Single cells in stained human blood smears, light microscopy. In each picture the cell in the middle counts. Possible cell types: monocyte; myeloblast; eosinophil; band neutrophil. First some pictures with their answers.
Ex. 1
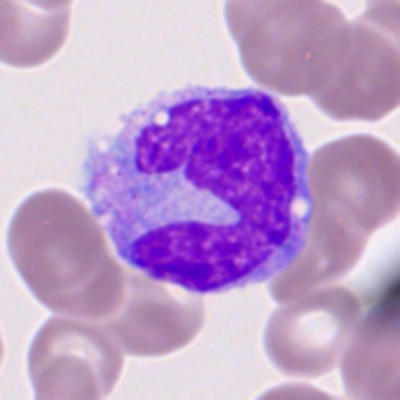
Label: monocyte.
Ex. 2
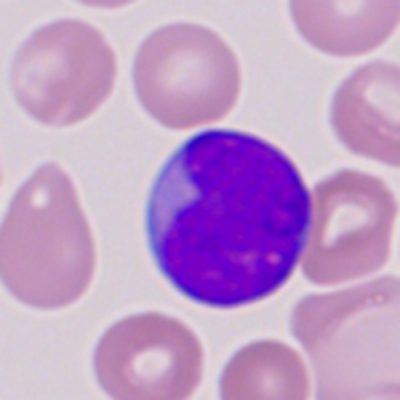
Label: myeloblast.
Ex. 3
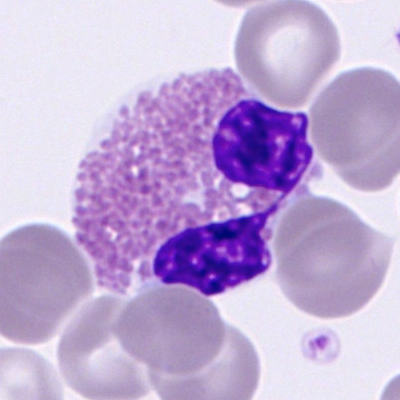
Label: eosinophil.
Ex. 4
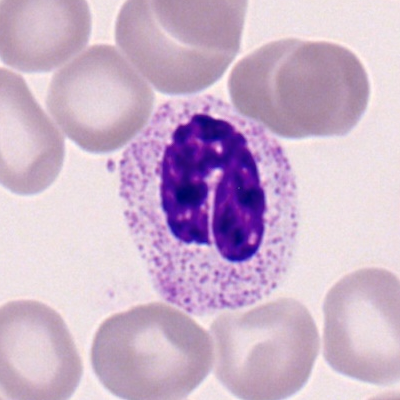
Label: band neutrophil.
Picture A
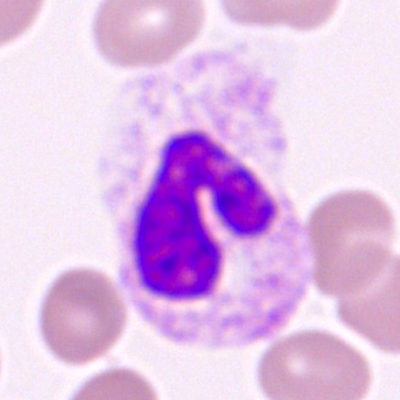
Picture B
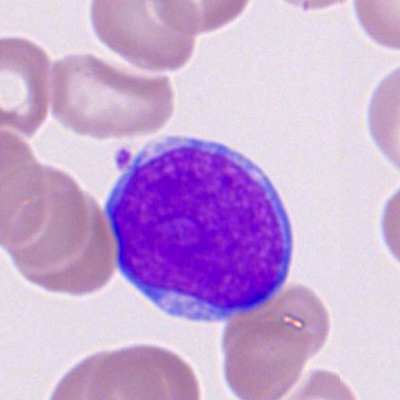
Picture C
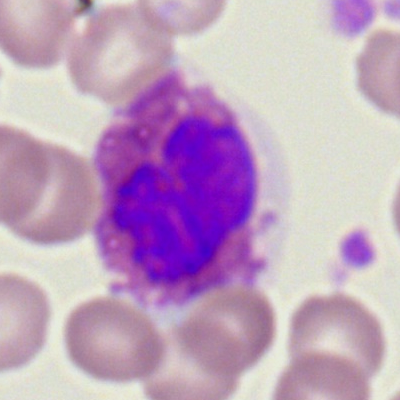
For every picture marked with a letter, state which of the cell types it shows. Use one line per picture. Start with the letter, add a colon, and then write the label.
A: band neutrophil.
B: myeloblast.
C: eosinophil.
